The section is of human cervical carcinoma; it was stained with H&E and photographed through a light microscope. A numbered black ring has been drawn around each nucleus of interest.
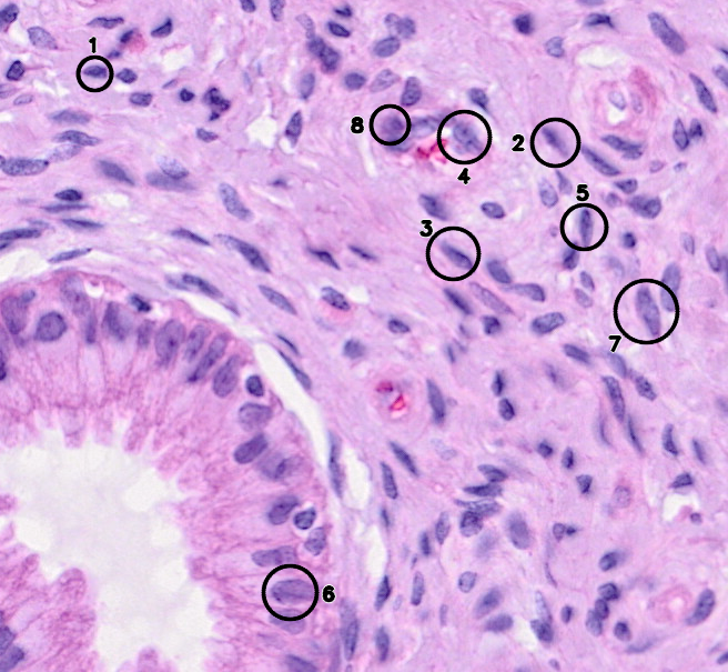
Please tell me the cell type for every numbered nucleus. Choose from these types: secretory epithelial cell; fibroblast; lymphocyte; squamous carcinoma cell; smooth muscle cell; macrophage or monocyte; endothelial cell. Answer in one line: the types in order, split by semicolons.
fibroblast; fibroblast; fibroblast; endothelial cell; fibroblast; secretory epithelial cell; fibroblast; endothelial cell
